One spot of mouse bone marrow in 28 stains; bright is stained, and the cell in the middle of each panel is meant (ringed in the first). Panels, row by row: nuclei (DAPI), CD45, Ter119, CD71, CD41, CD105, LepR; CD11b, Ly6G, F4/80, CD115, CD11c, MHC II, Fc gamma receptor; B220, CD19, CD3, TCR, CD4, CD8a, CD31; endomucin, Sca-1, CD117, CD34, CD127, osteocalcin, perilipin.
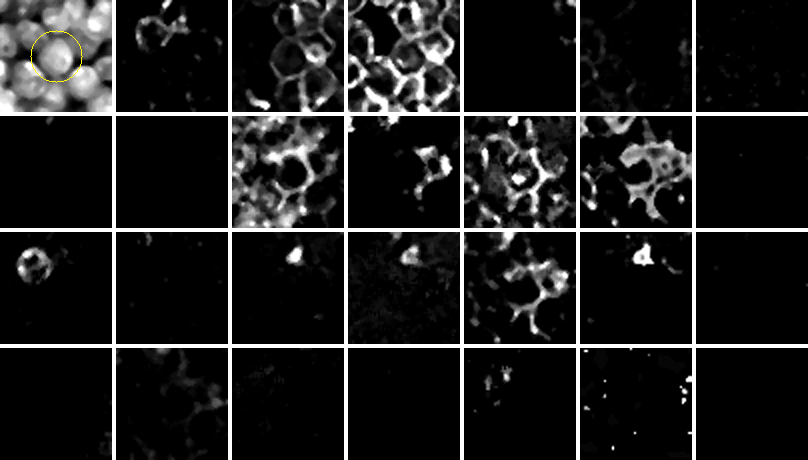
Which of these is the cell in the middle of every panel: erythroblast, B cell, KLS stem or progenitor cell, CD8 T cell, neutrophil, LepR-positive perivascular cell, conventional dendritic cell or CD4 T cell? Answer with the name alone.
conventional dendritic cell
